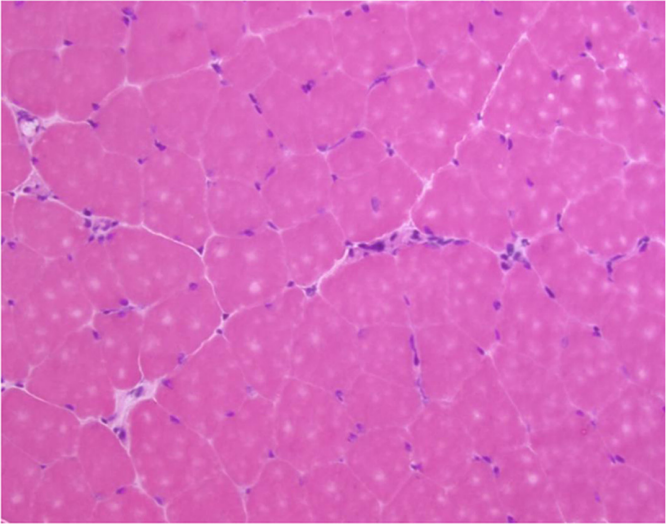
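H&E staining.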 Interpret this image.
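This is a cross section of skeletal muscle in which the fibers appear as pink, polygonal profiles packed closely together. The fibers are of fairly even size, separated only by thin pale lines of connective tissue. Their dark purple nuclei are small and flattened, lying at the edges of the fibers. A few small clusters of nuclei sit in the angles between fibers.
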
